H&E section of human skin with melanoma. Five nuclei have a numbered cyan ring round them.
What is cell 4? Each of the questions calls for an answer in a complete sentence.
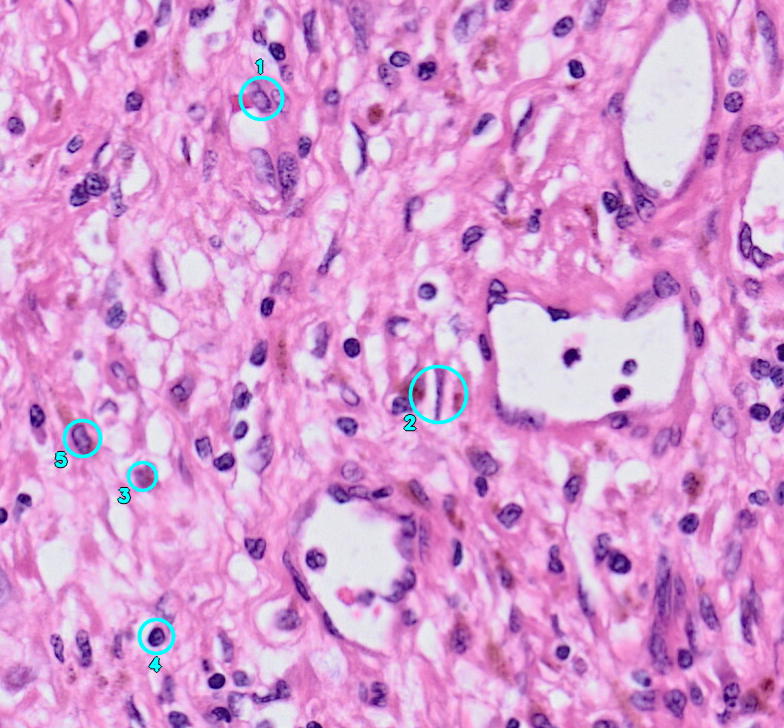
The correct label for cell 4 is a lymphocyte.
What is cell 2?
The cell with the number 2 is a fibroblast or myofibroblast.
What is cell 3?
Here the cell numbered 3 is a macrophage or monocyte.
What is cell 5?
The one labeled 5 is a macrophage or monocyte, to put it simply.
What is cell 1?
The nucleus labeled 1 belongs to an endothelial cell.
